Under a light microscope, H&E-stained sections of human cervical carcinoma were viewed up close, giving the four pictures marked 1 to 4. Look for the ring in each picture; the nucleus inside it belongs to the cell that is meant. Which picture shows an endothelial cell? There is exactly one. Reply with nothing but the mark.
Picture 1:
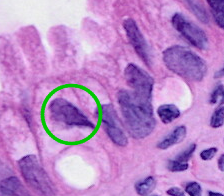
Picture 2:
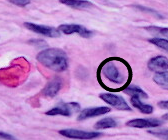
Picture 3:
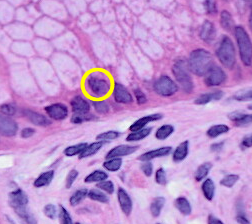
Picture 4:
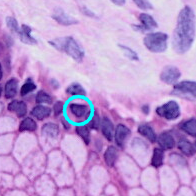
2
